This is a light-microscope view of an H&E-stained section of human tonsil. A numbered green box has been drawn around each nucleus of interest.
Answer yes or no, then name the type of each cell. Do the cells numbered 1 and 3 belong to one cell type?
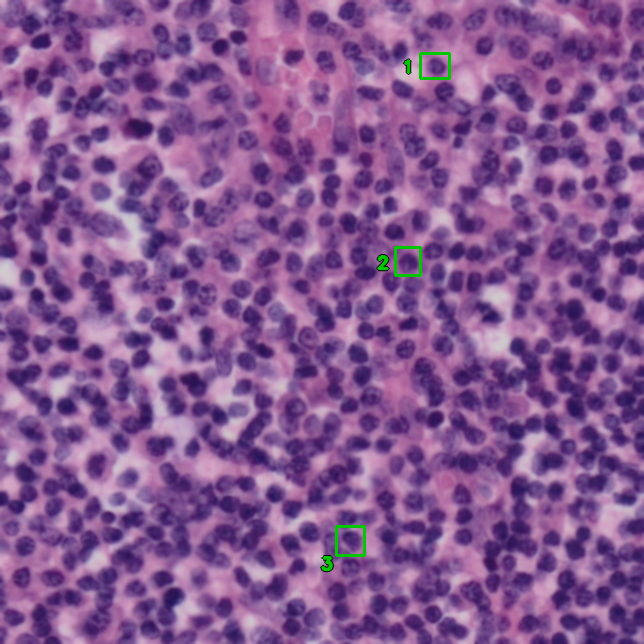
No, cell 1 is a plasma cell and cell 3 is a small lymphocyte.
